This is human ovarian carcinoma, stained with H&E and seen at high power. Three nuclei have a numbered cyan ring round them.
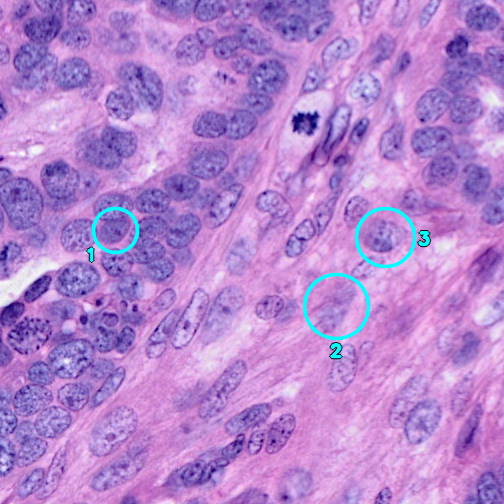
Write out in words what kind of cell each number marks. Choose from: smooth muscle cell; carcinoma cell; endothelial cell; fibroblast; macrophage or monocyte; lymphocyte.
Cell 1 is a carcinoma cell, cell 2 is a fibroblast and cell 3 is a fibroblast.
